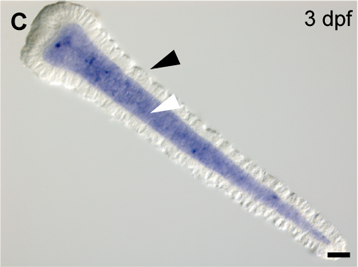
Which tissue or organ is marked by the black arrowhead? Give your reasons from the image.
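The black arrowhead points to the pale outer layer surrounding the purple core. The outer layer is unstained and forms the surface of the larva. On this evidence: larval ectoderm.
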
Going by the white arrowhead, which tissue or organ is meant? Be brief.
Larval endoderm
